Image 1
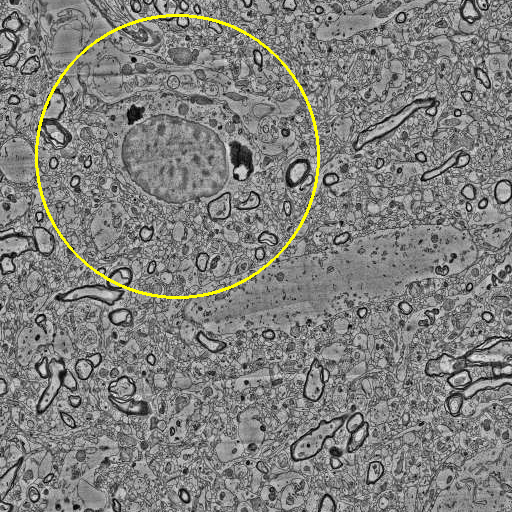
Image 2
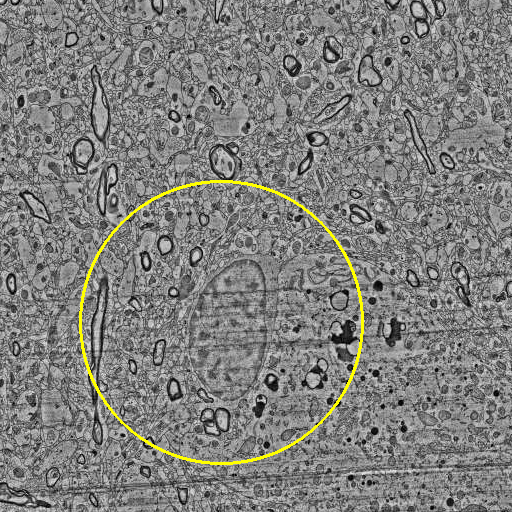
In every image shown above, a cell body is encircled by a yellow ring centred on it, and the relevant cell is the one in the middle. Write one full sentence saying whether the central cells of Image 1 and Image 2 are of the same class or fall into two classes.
The cell at the ring's centre in Image 1 and its counterpart in Image 2 are of the same class.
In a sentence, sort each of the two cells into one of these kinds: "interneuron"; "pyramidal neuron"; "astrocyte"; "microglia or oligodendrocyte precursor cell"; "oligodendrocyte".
In the first picture and in the second, the ring is centred on an oligodendrocyte.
